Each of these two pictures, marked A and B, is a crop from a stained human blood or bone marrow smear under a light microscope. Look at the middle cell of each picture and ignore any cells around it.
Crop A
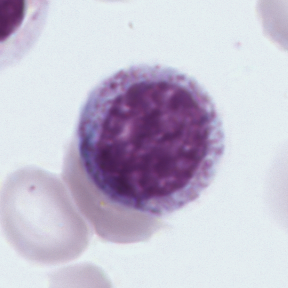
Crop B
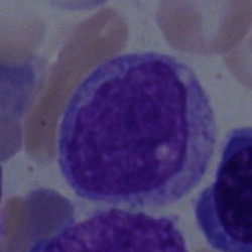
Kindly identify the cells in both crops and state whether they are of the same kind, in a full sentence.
No, a metamyelocyte is what occupies crop A, and a monocyte is what occupies crop B.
